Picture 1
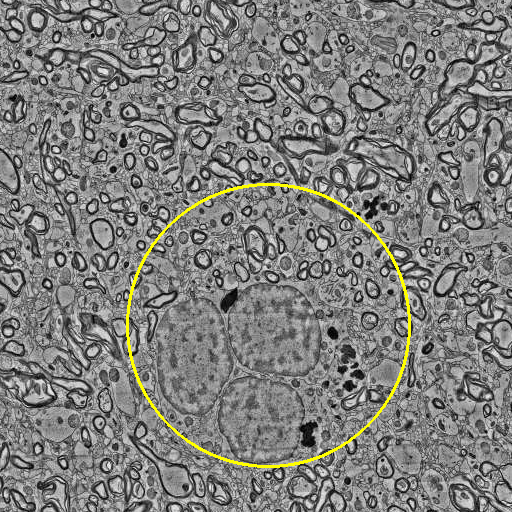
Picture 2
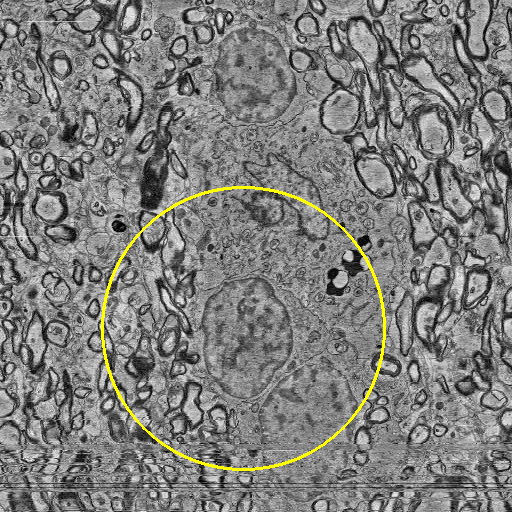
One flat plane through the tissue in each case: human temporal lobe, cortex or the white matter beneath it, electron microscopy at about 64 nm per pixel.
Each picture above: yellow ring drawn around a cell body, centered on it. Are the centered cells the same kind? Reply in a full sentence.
Yes, the two cells are the same kind.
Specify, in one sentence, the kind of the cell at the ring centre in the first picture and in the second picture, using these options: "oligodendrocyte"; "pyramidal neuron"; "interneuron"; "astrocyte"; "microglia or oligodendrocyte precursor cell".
The cell in the first picture is an oligodendrocyte, and so is the one in the second.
